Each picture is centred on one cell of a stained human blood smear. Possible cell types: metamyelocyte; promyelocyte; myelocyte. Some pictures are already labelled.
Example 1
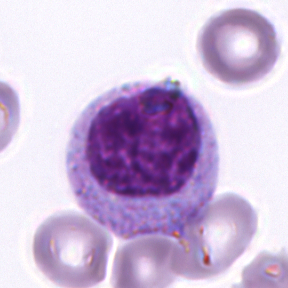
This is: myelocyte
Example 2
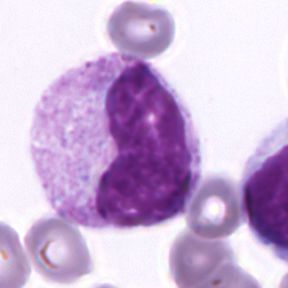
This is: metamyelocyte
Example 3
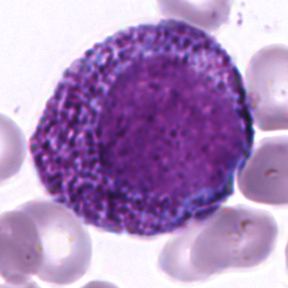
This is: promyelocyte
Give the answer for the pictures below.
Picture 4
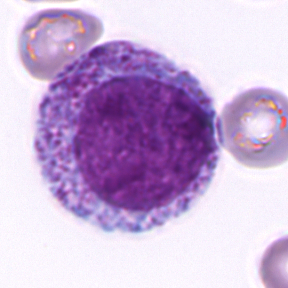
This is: promyelocyte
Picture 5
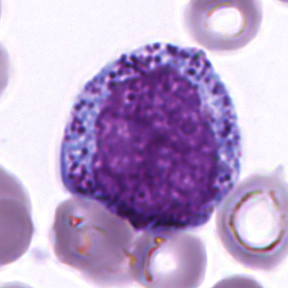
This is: promyelocyte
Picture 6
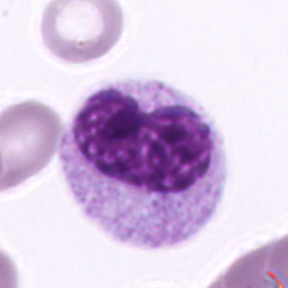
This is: metamyelocyte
